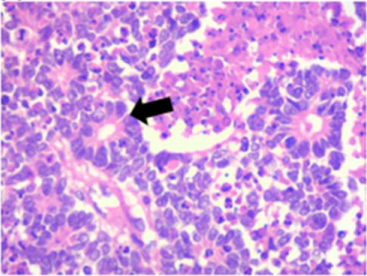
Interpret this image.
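Well differentiated retinoblastoma made of small round tumour cells with dark blue-purple nuclei and scant cytoplasm. Many cells are arranged in rings around small clear central lumens, forming rosettes, set among pink-staining areas.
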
